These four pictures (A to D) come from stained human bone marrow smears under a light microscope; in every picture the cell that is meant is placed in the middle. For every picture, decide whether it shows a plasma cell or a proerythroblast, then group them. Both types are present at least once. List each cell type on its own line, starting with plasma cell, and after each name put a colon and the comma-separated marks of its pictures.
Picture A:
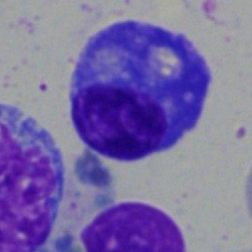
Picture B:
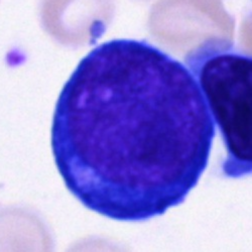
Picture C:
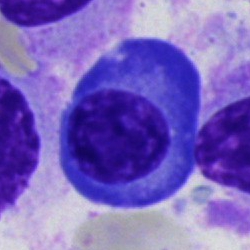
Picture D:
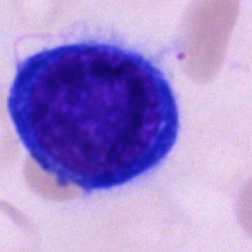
plasma cell: A, C
proerythroblast: B, D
